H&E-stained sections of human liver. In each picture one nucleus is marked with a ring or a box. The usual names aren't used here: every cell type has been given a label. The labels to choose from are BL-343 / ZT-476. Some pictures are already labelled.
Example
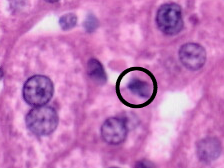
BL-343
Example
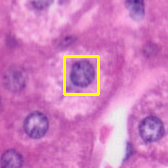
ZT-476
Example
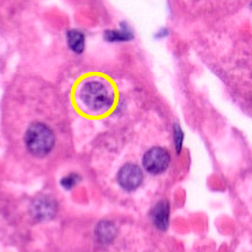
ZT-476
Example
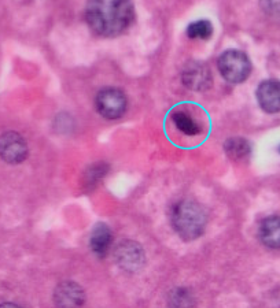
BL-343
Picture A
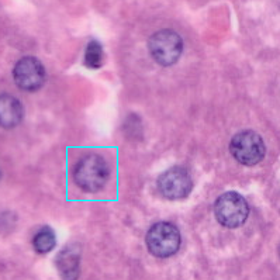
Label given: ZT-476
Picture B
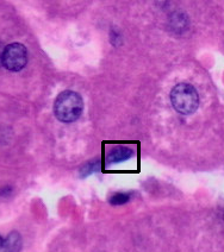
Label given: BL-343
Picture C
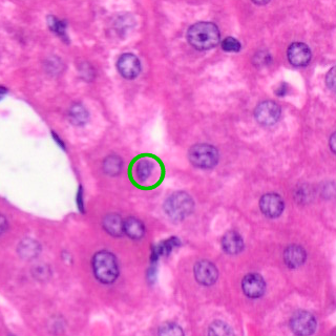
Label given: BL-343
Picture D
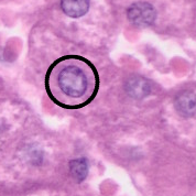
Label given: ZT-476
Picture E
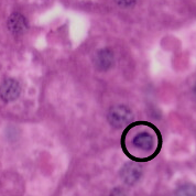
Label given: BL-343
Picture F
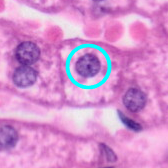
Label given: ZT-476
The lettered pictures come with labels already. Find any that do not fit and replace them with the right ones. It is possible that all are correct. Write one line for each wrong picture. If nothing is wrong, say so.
None of the labels needs changing.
